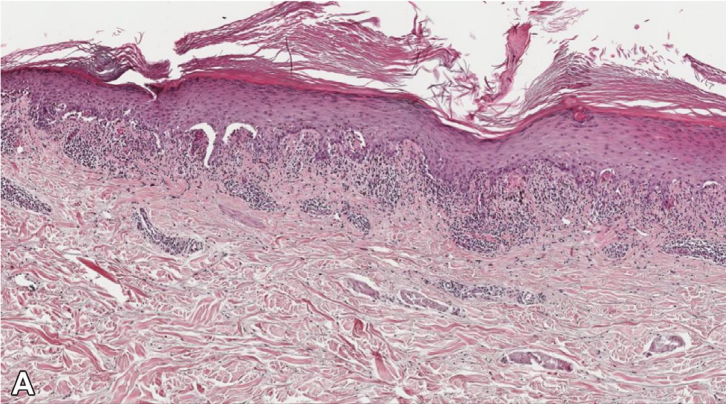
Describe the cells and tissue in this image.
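Skin at low magnification showing a thickened epidermis beneath a thick layer of pink, laminated keratin that is partly lifted off in flakes. The lower border of the epidermis is irregular with pointed downward projections. Small white clefts lie along parts of the junction between epidermis and dermis. A band of dark-staining small cells lies in the upper dermis just below the epidermis, with further small clusters around vessels deeper down. The deeper dermis consists of loosely arranged pink collagen bundles.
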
